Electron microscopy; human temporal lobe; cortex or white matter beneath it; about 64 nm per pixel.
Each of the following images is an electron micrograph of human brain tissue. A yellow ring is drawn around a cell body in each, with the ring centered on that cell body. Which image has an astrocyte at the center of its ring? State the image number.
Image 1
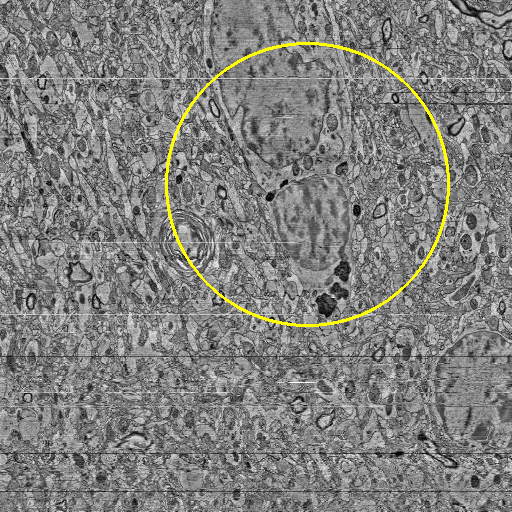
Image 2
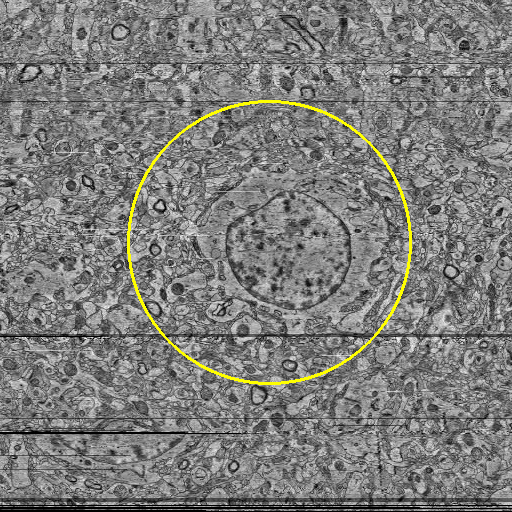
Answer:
2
